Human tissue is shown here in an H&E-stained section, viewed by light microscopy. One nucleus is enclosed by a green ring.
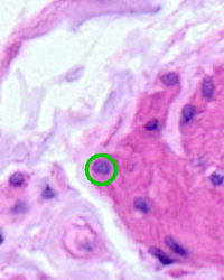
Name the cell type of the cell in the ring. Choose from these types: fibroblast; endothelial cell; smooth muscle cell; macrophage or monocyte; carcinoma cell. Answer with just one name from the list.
smooth muscle cell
